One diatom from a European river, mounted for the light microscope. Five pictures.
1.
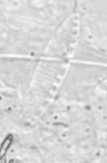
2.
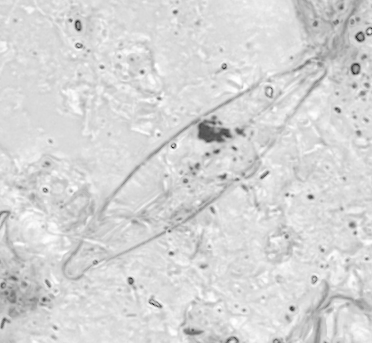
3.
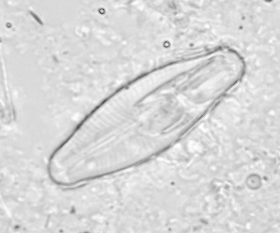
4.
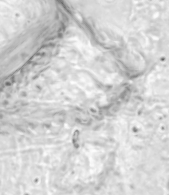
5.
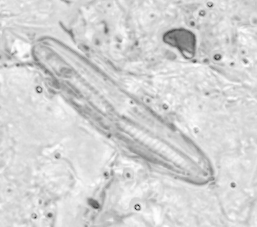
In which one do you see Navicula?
In picture 2.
